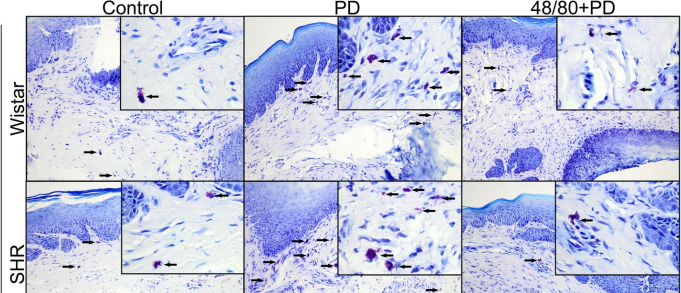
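Scattered through this connective tissue, mostly below the epithelium, are single oval or rounded cells stained a dense purple, clearly unlike the blue of everything around them. Black arrows point to these cells. Enlarged insets show them as compact purple bodies lying between spindle-shaped cells. The number of purple cells differs from field to field.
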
